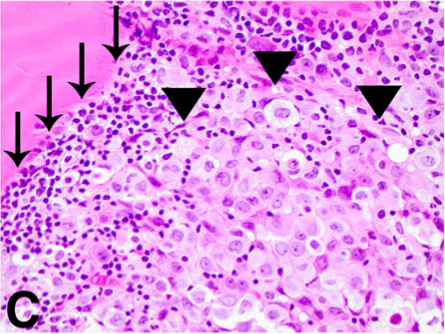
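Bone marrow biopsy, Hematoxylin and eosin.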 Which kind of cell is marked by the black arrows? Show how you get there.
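Small lymphocytes. The arrows point to tightly packed small cells with round dark nuclei and scant cytoplasm. These cells line the edge of a pink bony trabecula.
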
